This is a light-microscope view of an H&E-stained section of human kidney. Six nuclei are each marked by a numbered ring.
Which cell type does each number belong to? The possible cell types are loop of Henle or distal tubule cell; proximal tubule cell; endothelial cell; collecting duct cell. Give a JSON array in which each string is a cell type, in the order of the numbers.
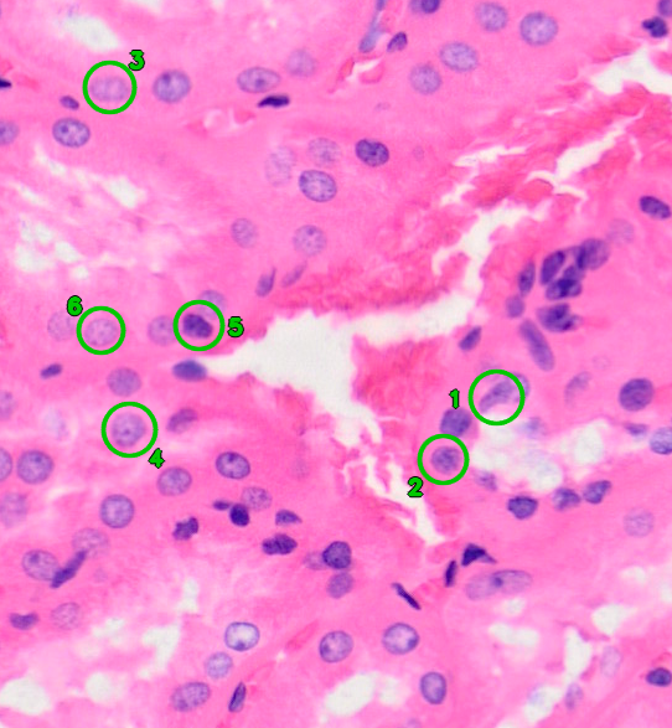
["collecting duct cell", "loop of Henle or distal tubule cell", "proximal tubule cell", "proximal tubule cell", "proximal tubule cell", "proximal tubule cell"]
